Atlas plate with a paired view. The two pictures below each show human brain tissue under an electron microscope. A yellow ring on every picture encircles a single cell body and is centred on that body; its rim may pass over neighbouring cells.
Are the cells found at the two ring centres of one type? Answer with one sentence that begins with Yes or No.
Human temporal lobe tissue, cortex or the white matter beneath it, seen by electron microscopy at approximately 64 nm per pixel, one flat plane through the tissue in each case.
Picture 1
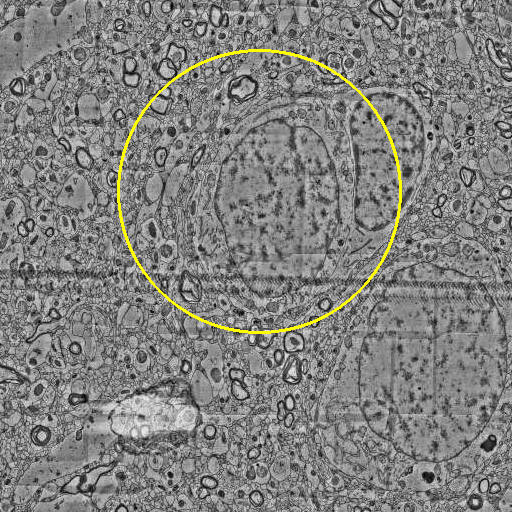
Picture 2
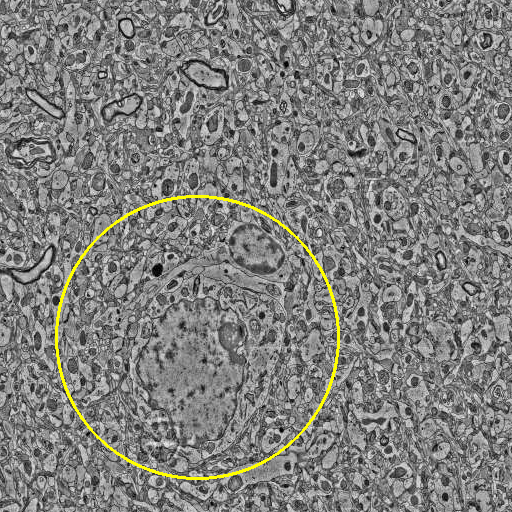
Yes, the two cells lying at the centres of the rings share a single type.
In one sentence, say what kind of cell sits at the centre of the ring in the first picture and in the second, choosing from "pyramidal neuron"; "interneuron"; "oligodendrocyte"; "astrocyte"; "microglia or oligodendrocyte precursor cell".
The cell at the ring centre is an interneuron in both pictures.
